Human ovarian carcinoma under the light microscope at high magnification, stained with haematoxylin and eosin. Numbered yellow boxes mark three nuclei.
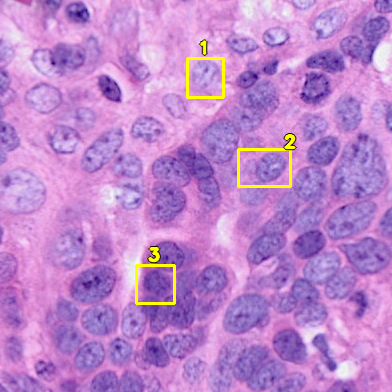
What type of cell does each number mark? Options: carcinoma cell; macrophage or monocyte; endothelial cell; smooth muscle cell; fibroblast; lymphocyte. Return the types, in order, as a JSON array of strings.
["fibroblast", "carcinoma cell", "carcinoma cell"]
